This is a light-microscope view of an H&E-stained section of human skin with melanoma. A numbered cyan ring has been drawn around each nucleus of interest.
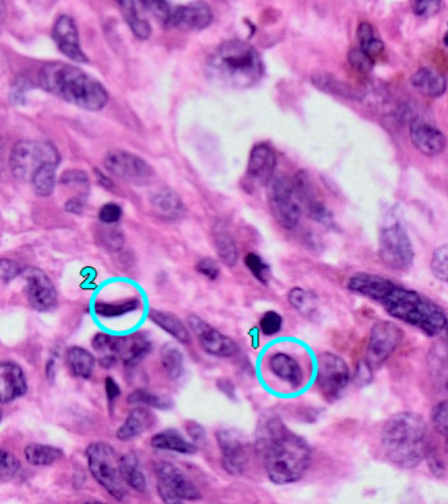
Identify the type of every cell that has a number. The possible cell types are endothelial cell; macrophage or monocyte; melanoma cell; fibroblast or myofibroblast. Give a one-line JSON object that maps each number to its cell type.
{"1": "macrophage or monocyte", "2": "melanoma cell"}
